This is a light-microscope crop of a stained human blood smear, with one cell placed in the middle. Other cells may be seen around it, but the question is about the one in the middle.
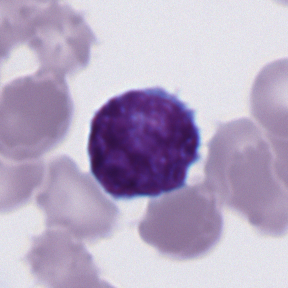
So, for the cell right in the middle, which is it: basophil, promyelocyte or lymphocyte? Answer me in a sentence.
Within this crop, a lymphocyte occupies the central position.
